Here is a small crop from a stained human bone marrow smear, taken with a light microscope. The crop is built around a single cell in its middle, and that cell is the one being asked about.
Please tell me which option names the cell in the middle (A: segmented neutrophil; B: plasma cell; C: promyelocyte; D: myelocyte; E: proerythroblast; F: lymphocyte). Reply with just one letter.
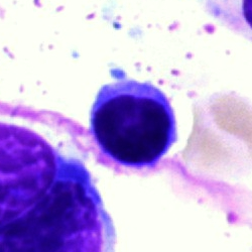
F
